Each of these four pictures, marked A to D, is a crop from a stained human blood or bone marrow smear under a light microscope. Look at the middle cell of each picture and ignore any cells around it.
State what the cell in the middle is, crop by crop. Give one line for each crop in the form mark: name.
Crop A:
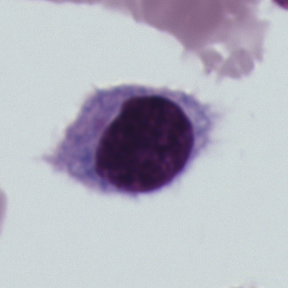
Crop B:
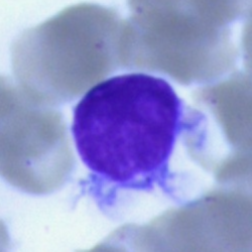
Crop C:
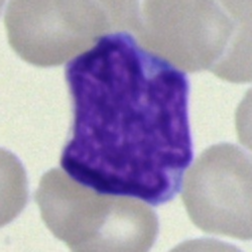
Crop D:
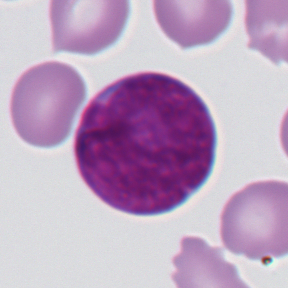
A: hairy cell
B: hairy cell
C: blast
D: blast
